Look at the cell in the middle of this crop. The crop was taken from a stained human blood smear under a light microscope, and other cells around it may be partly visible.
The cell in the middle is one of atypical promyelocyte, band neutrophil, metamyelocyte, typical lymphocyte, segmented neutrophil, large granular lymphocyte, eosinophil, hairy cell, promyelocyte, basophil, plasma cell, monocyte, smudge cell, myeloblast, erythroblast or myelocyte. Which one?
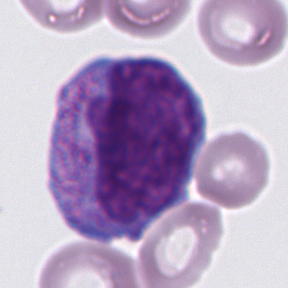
atypical promyelocyte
